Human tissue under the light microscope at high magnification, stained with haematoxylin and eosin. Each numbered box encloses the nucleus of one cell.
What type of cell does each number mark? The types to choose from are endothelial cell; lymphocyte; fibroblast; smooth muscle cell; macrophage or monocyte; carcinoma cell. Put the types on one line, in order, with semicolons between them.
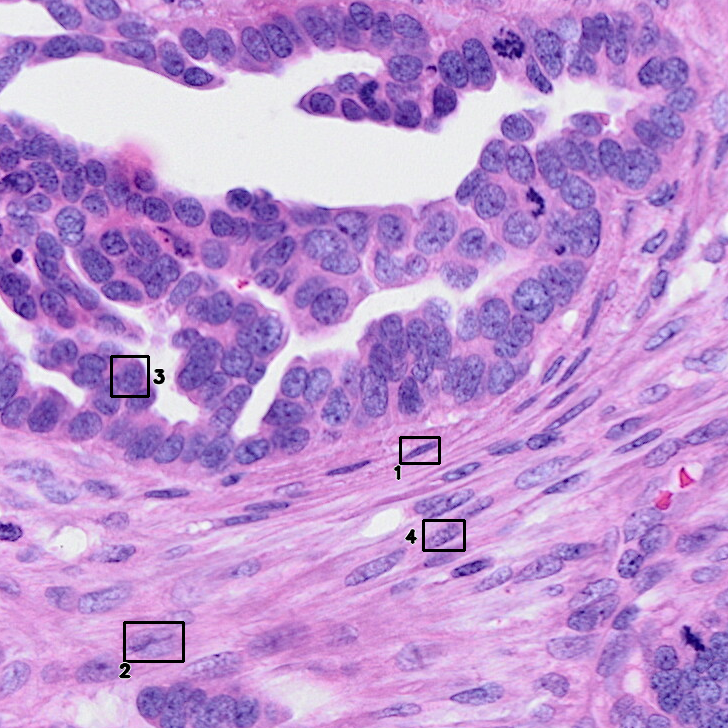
fibroblast; fibroblast; carcinoma cell; fibroblast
